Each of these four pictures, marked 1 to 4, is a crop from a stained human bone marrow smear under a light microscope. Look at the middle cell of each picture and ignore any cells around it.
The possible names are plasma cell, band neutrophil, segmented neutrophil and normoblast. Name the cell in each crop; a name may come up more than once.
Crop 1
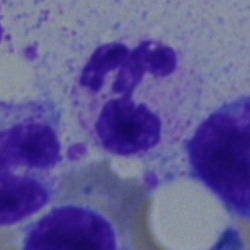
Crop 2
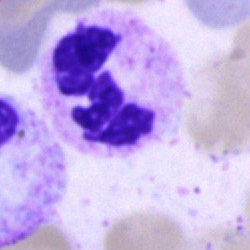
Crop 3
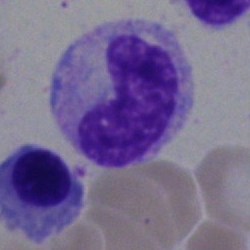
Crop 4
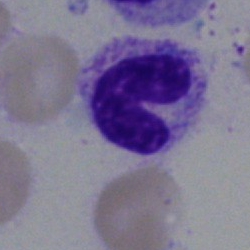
1: segmented neutrophil
2: segmented neutrophil
3: band neutrophil
4: band neutrophil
